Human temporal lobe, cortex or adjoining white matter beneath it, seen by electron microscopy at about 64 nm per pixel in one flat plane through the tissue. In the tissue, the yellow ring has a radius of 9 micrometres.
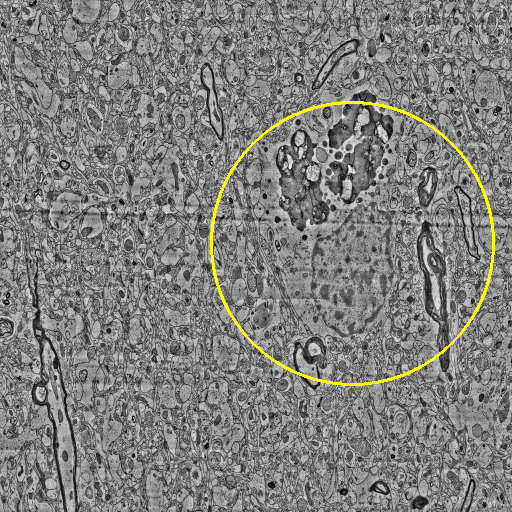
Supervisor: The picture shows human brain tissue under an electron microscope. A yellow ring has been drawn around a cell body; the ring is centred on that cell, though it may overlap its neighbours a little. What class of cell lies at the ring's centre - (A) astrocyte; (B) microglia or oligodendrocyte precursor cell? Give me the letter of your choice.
A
